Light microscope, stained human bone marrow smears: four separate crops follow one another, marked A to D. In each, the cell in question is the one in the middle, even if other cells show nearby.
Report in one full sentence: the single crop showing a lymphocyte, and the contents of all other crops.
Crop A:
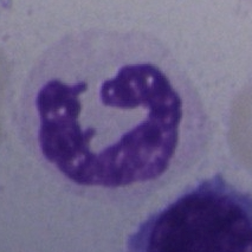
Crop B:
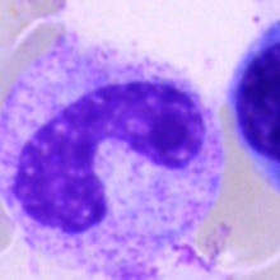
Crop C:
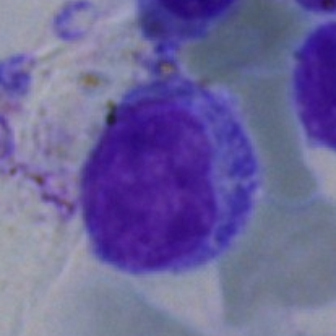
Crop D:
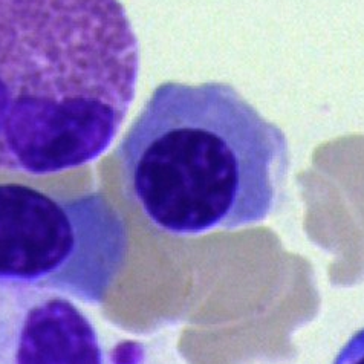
There is a lymphocyte in crop C, while crop A is a segmented neutrophil, crop B is a band neutrophil and crop D is an erythroblast.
